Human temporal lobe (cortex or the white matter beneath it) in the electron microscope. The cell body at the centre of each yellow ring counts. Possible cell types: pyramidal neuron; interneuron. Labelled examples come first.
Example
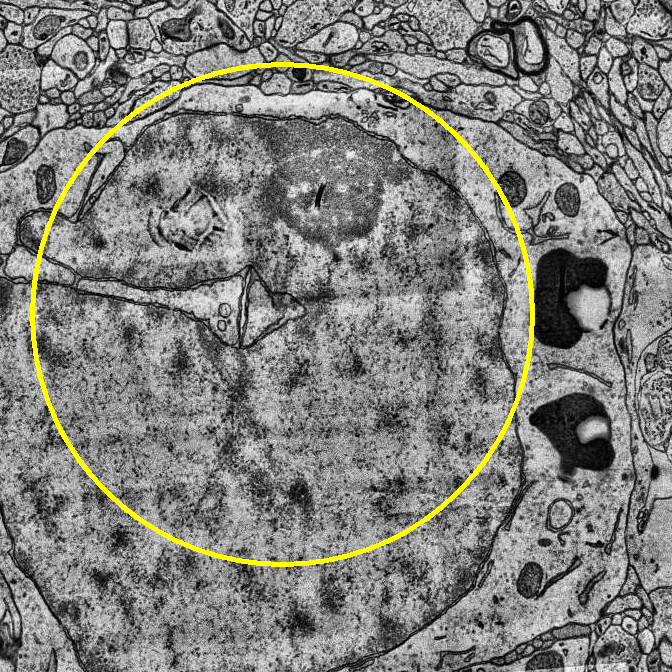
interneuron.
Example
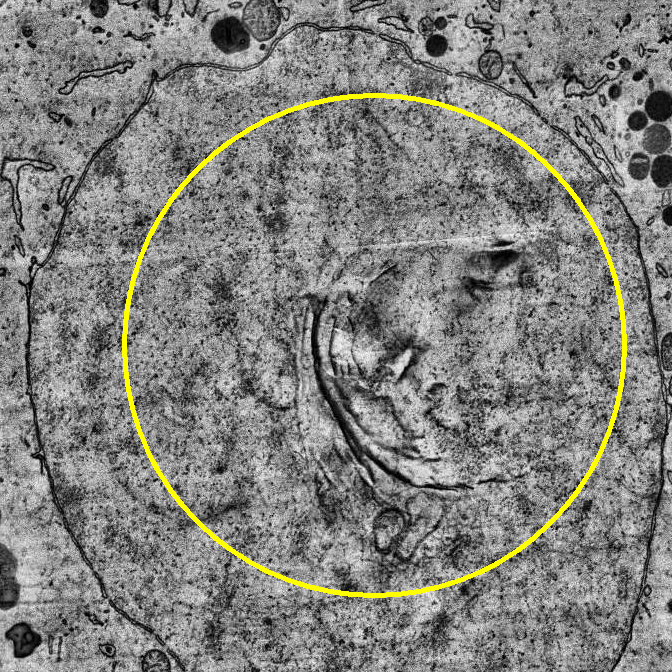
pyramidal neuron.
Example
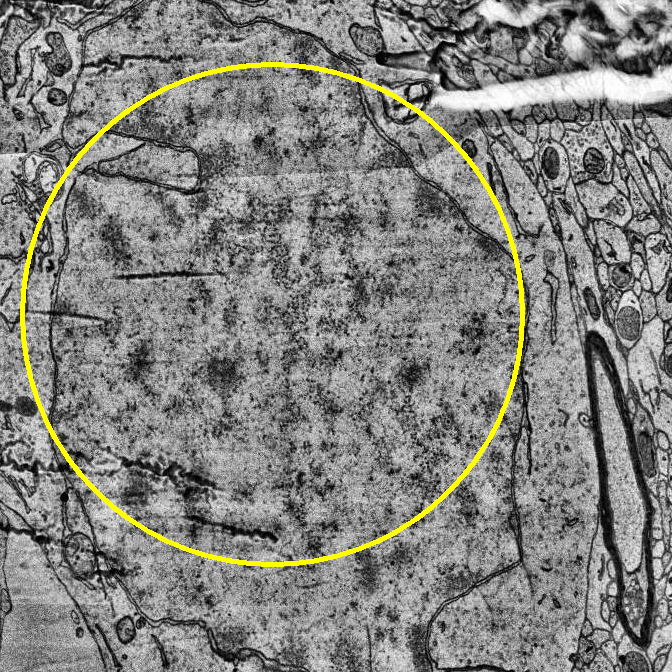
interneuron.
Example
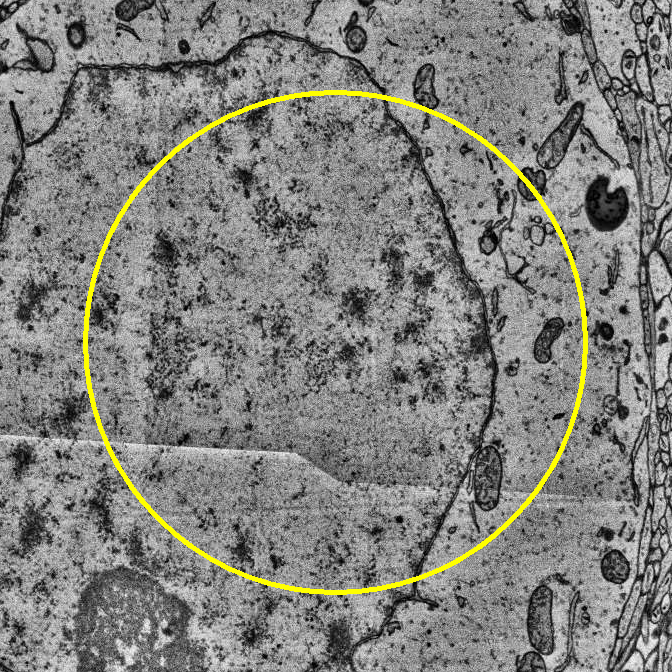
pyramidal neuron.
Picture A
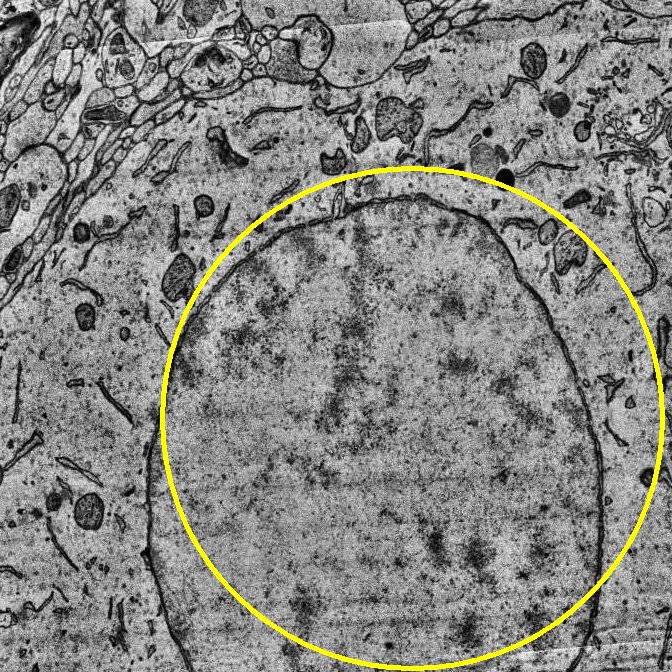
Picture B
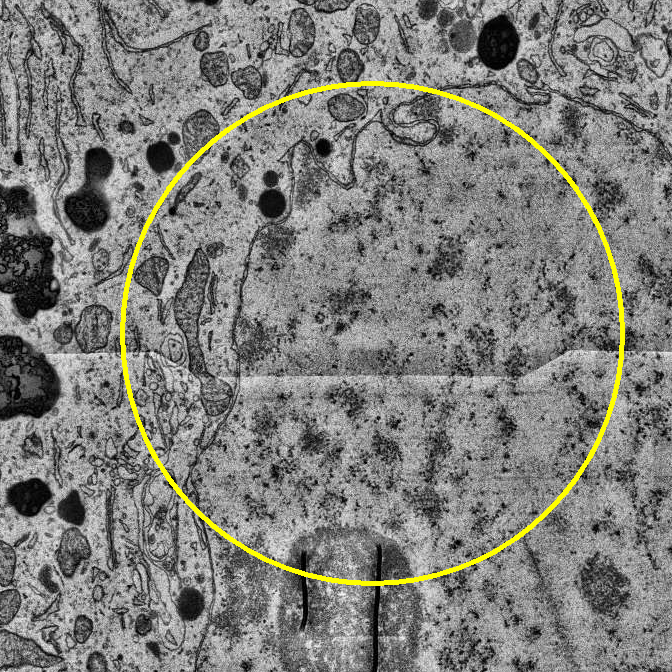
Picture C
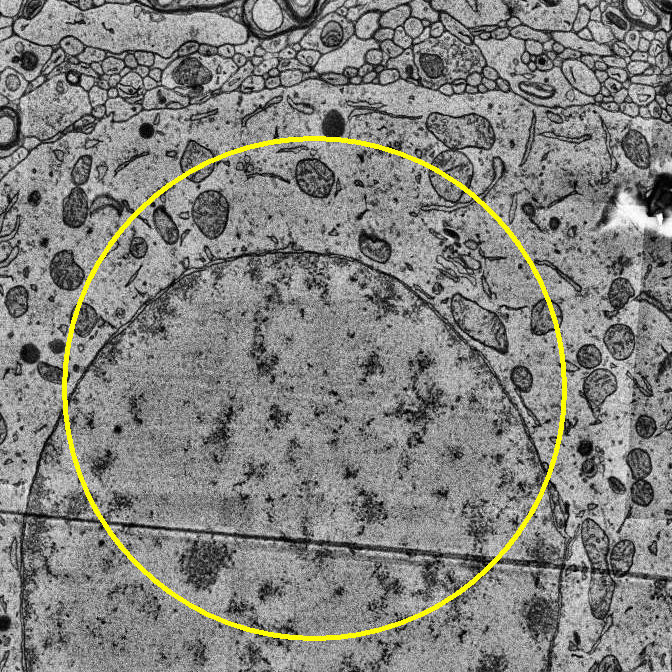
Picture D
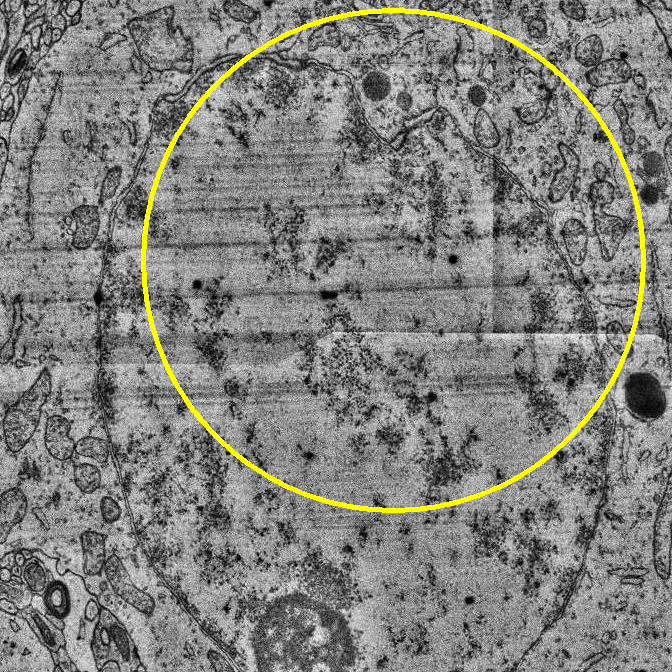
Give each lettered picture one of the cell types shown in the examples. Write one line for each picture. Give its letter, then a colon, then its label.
A: pyramidal neuron.
B: interneuron.
C: interneuron.
D: interneuron.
